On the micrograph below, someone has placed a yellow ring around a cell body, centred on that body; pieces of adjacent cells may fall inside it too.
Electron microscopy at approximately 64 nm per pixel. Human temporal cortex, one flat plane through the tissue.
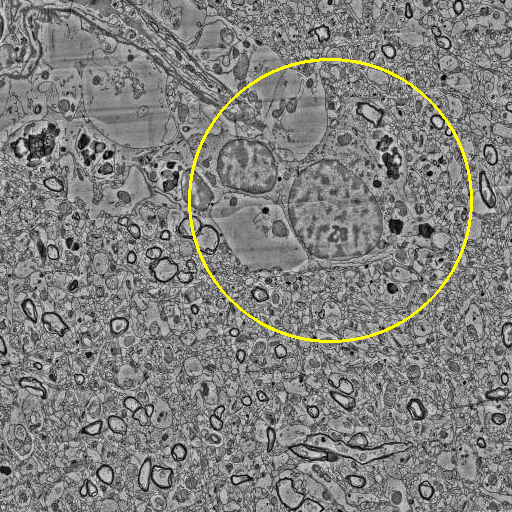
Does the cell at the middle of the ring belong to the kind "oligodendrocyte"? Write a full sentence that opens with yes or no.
Yes, the cell lying at the ring's centre on the micrograph is that kind.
